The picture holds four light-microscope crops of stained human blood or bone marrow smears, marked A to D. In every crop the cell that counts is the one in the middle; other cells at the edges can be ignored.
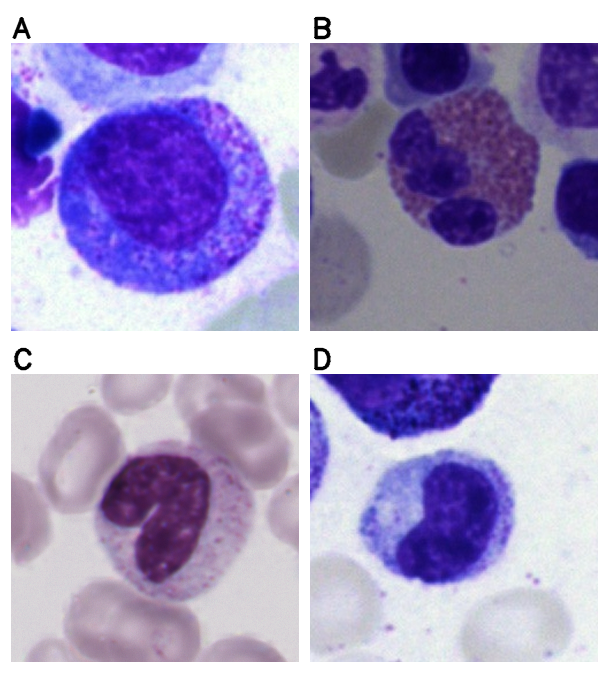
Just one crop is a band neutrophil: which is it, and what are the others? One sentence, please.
In crop C there is a band neutrophil, while crop A is a promyelocyte, crop B is an eosinophil and crop D is a metamyelocyte.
